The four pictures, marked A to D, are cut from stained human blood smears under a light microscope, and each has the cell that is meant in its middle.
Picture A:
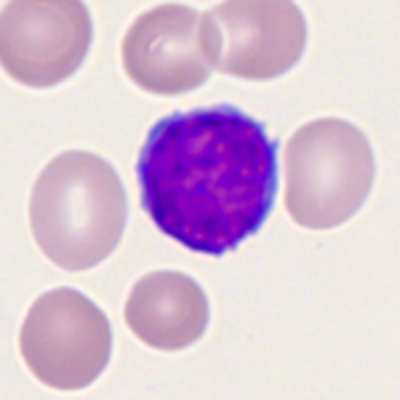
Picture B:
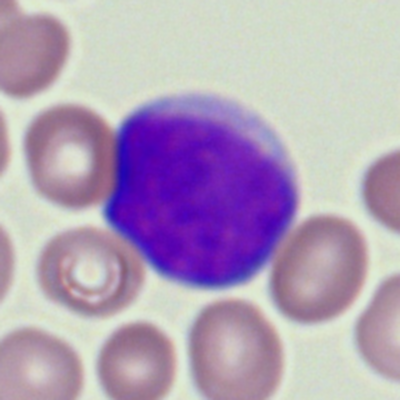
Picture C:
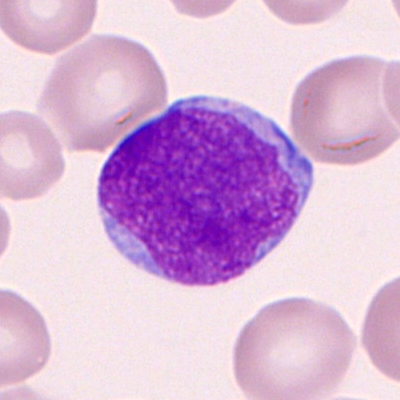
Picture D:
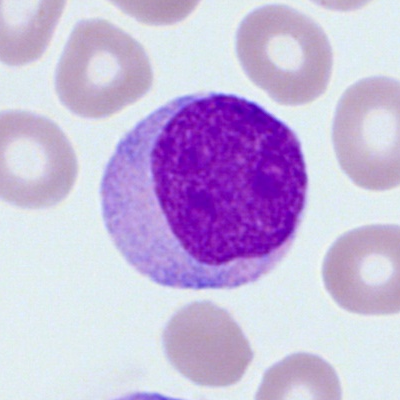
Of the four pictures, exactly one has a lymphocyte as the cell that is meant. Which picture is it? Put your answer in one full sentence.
Picture A is the one that shows the lymphocyte.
